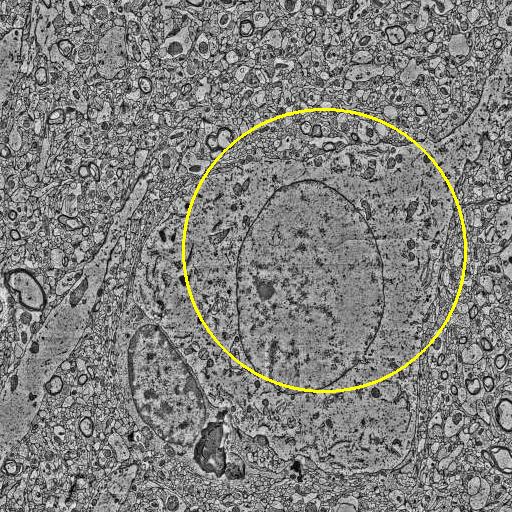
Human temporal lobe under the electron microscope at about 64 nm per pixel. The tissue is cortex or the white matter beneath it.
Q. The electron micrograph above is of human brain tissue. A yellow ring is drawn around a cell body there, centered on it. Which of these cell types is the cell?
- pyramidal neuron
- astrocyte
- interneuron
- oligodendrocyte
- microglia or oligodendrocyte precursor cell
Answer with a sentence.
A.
The cell under the ring's center is a pyramidal neuron.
